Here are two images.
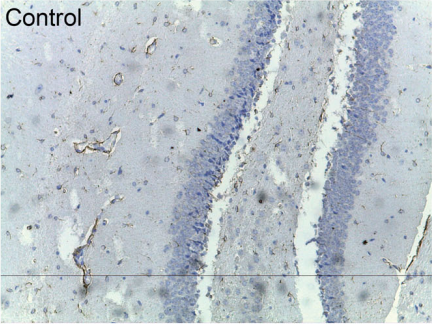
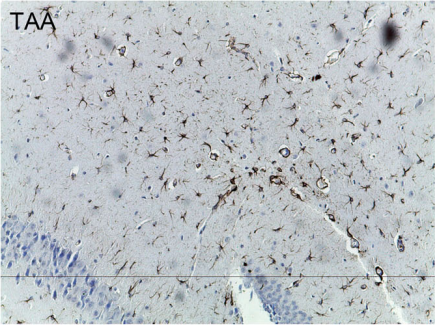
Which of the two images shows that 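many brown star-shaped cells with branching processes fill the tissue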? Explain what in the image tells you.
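First image: brown stain is mostly along blood vessel walls, with only a few faint small branched cells. Second image: numerous darkly brown star-shaped cells with thick processes are scattered densely across the field. On this evidence: the second image.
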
